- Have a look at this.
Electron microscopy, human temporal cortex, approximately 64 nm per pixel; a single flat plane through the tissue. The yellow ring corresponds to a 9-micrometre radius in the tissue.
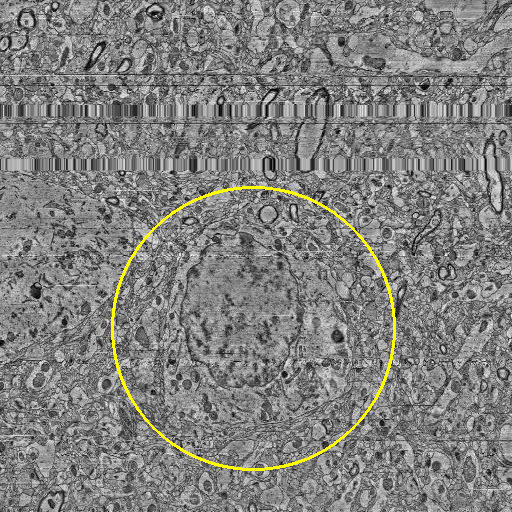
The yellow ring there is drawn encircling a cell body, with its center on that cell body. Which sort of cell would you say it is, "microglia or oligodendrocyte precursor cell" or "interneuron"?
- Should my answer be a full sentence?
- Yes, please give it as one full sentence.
For this picture, an interneuron is the cell where the yellow ring has its center.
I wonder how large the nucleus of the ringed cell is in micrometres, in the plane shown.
In this plane the nucleus measures roughly 10 by 8 micrometers.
